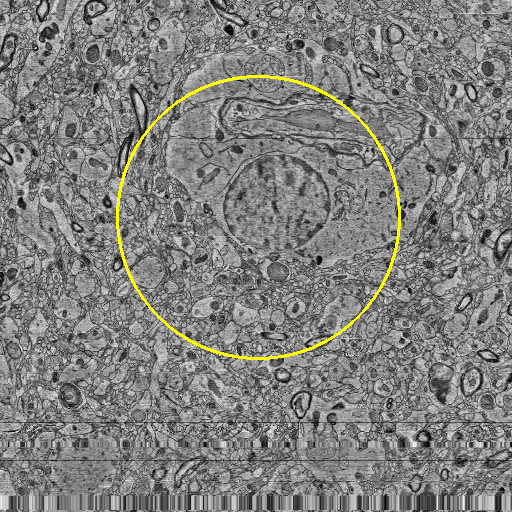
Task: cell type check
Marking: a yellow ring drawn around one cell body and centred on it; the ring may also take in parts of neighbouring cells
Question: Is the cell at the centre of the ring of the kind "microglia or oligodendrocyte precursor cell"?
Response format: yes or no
yes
